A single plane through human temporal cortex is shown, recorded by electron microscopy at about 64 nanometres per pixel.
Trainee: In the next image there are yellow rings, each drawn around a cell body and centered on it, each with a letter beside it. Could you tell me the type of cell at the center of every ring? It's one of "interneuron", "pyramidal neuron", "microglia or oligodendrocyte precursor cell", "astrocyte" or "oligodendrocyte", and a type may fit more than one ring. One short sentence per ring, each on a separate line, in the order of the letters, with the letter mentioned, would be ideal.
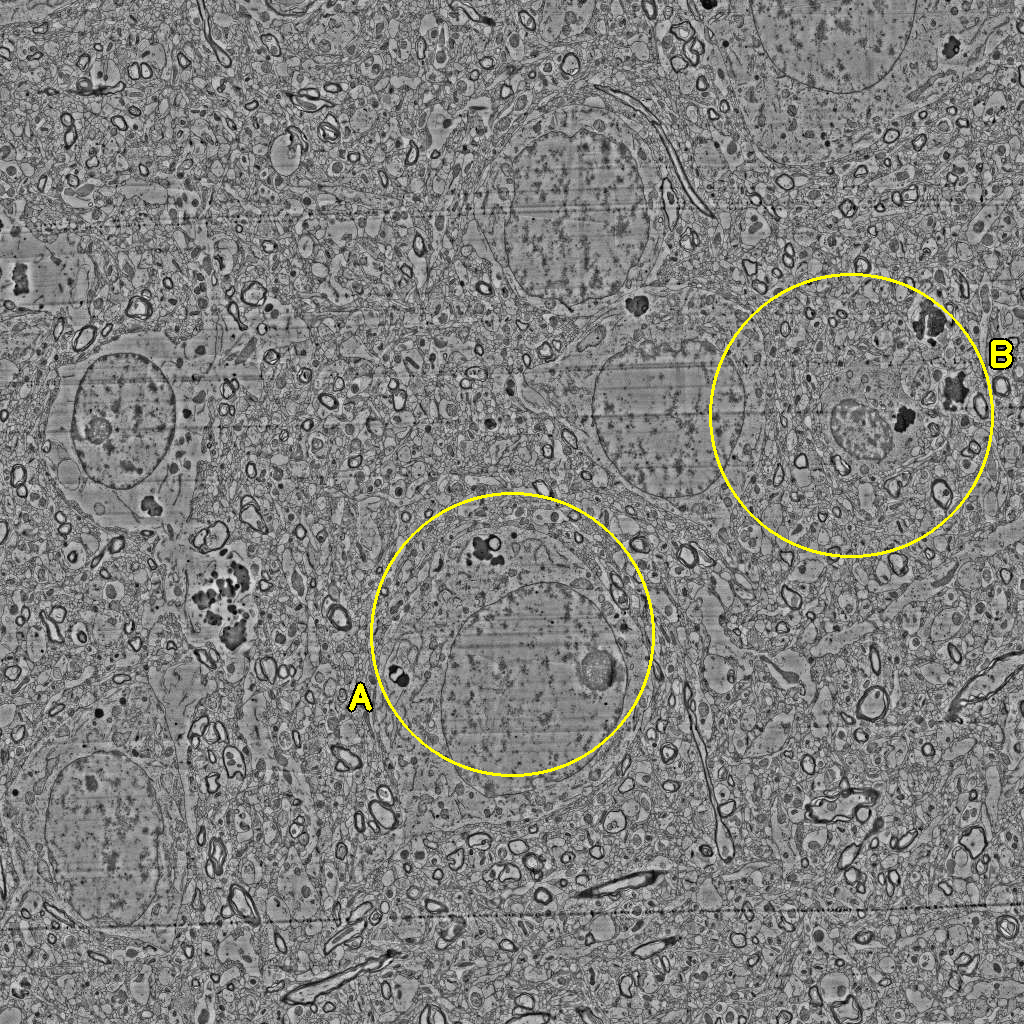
What ring A is centered on is a pyramidal neuron.
What ring B is centered on is an oligodendrocyte.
